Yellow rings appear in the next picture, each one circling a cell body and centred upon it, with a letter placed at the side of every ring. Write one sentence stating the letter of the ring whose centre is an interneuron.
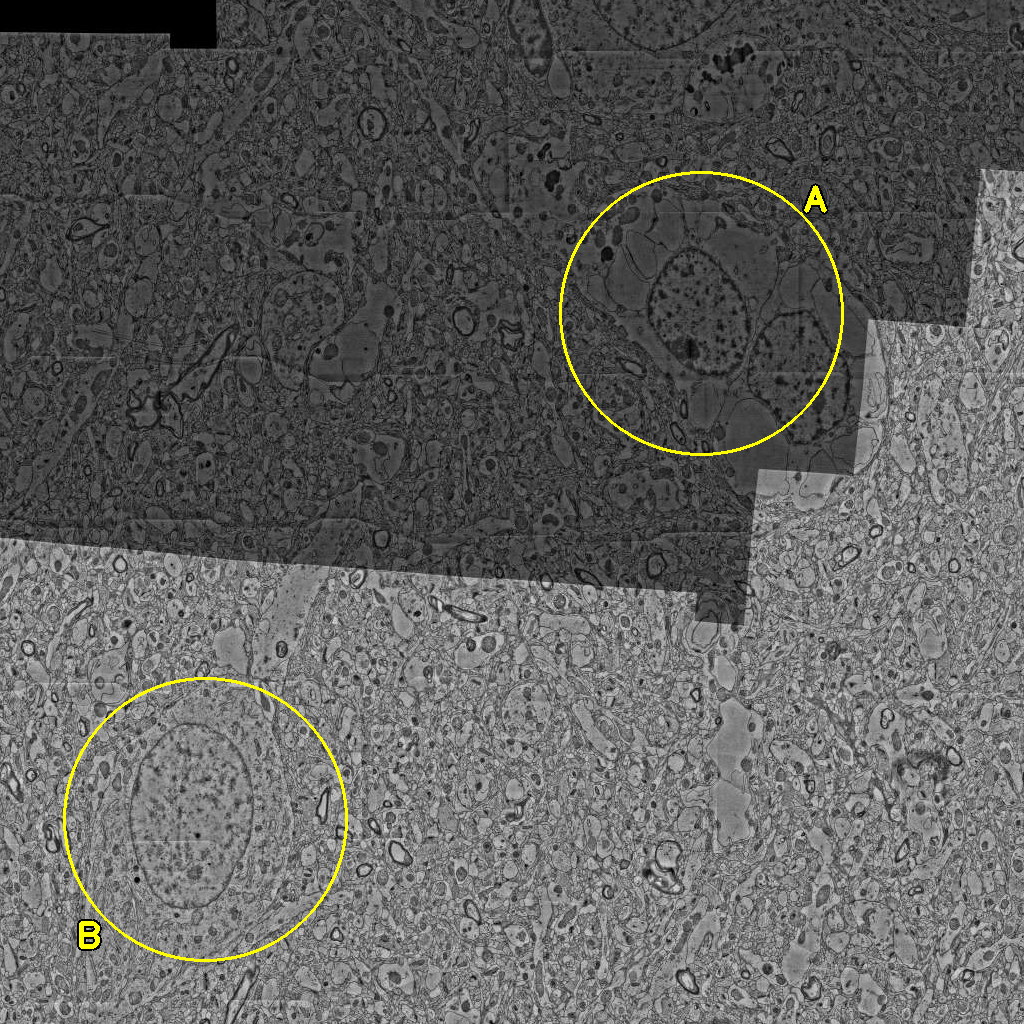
In the picture, the cell asked for lies at the centre of ring B.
